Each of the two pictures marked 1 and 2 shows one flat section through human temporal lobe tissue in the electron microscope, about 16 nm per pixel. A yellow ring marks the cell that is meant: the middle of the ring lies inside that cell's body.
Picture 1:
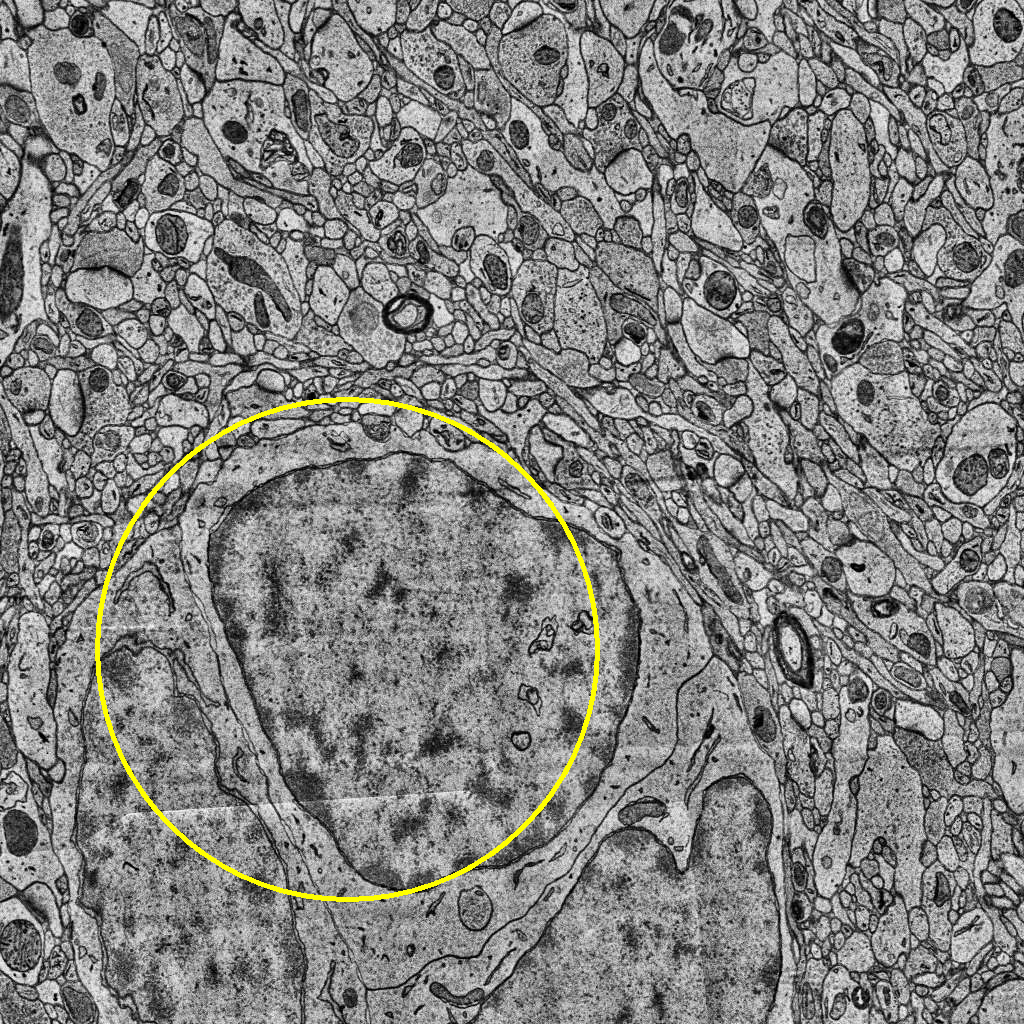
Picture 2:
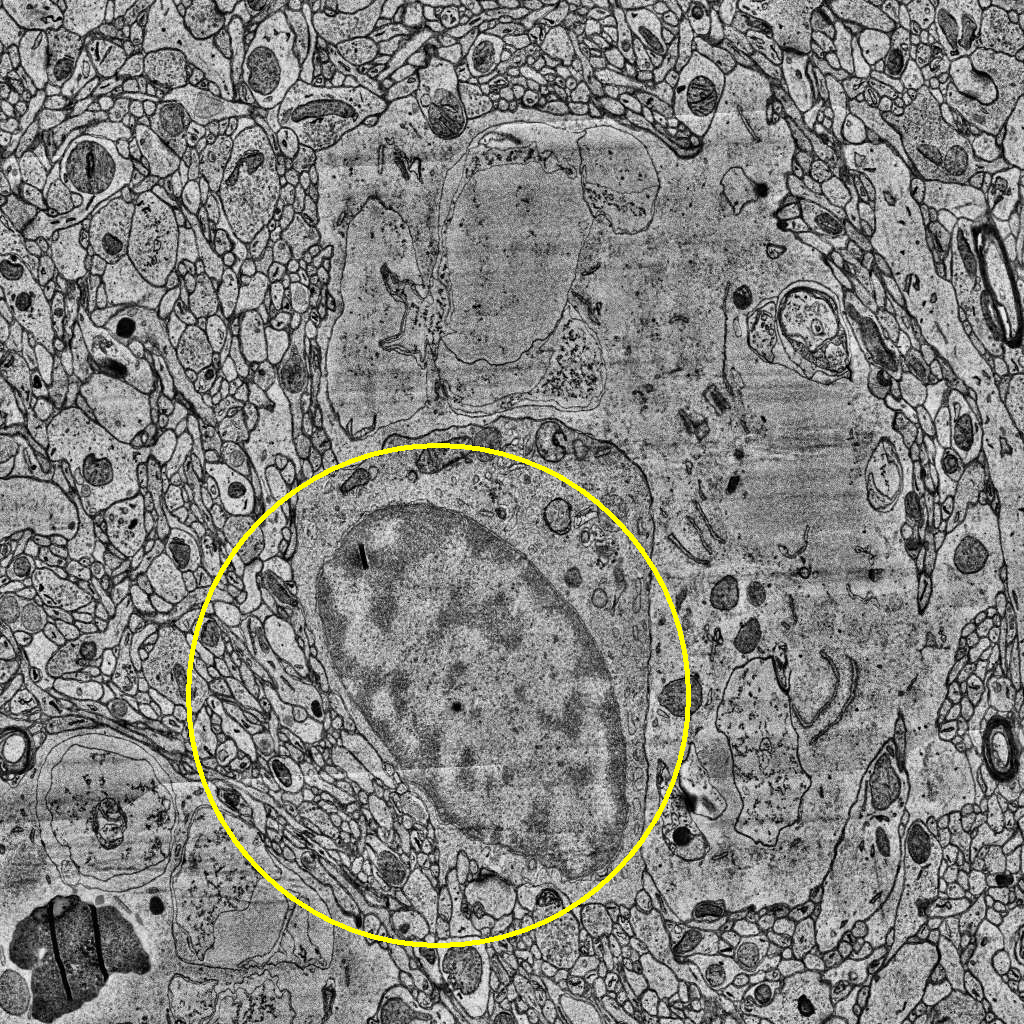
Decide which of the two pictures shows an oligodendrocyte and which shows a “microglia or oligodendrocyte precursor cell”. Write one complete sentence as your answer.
Picture 2 shows an oligodendrocyte, while picture 1 shows a “microglia or oligodendrocyte precursor cell”.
